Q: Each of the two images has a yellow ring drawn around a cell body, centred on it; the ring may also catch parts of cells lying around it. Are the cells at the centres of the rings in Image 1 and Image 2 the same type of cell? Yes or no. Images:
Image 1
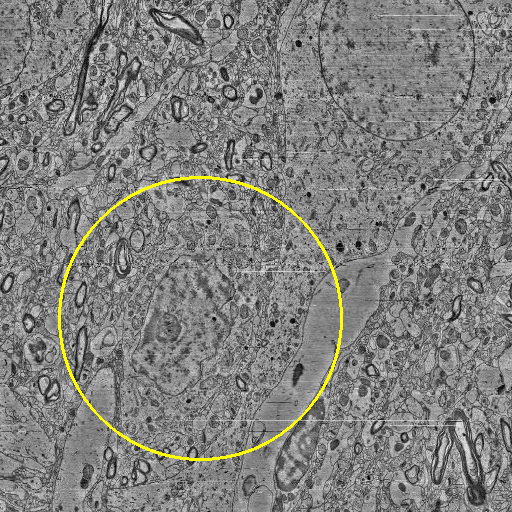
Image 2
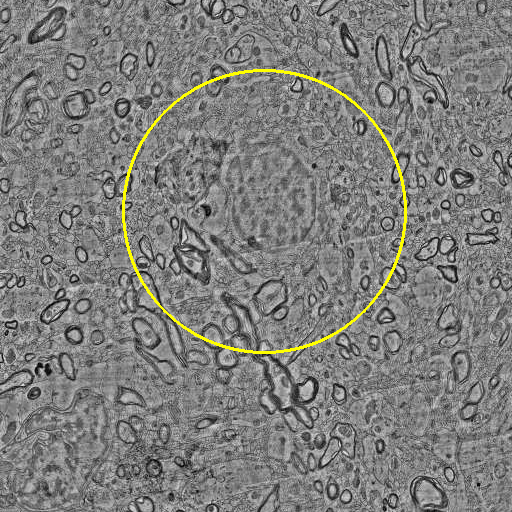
no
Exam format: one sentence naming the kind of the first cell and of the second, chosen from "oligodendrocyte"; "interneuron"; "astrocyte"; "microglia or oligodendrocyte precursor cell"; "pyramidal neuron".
The first picture's cell is an interneuron, and the second picture's cell is an oligodendrocyte.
